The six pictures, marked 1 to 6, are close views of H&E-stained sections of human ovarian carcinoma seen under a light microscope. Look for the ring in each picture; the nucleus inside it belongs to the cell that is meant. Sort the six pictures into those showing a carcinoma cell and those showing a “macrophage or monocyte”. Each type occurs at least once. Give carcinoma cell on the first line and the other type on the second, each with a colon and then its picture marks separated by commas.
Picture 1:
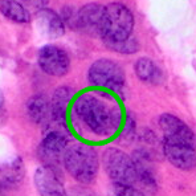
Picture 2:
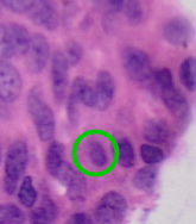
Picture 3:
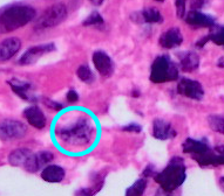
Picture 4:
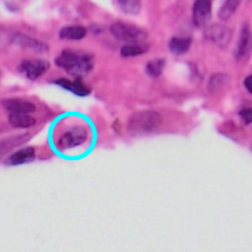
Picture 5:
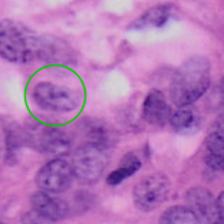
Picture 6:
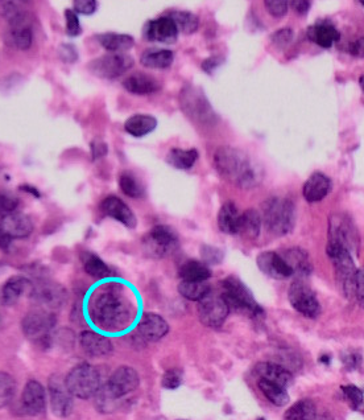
carcinoma cell: 1, 2, 6
macrophage or monocyte: 3, 4, 5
